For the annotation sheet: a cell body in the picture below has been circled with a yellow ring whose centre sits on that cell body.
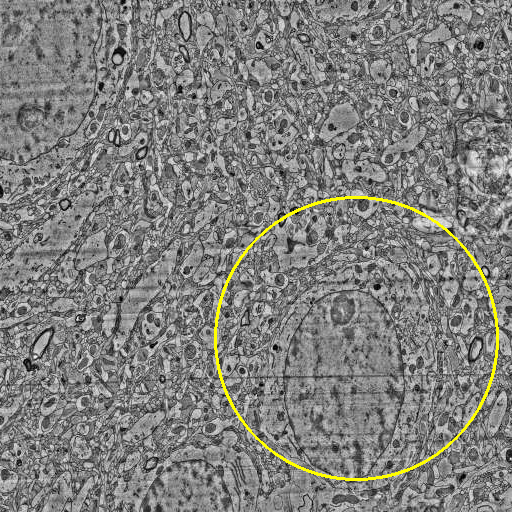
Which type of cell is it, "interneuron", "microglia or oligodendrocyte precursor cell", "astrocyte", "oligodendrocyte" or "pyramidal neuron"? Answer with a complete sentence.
The circled cell is a pyramidal neuron.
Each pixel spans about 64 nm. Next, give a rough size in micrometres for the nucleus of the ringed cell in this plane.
In this plane the nucleus measures about 12 by 8 micrometres and is clearly longer than it is wide.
